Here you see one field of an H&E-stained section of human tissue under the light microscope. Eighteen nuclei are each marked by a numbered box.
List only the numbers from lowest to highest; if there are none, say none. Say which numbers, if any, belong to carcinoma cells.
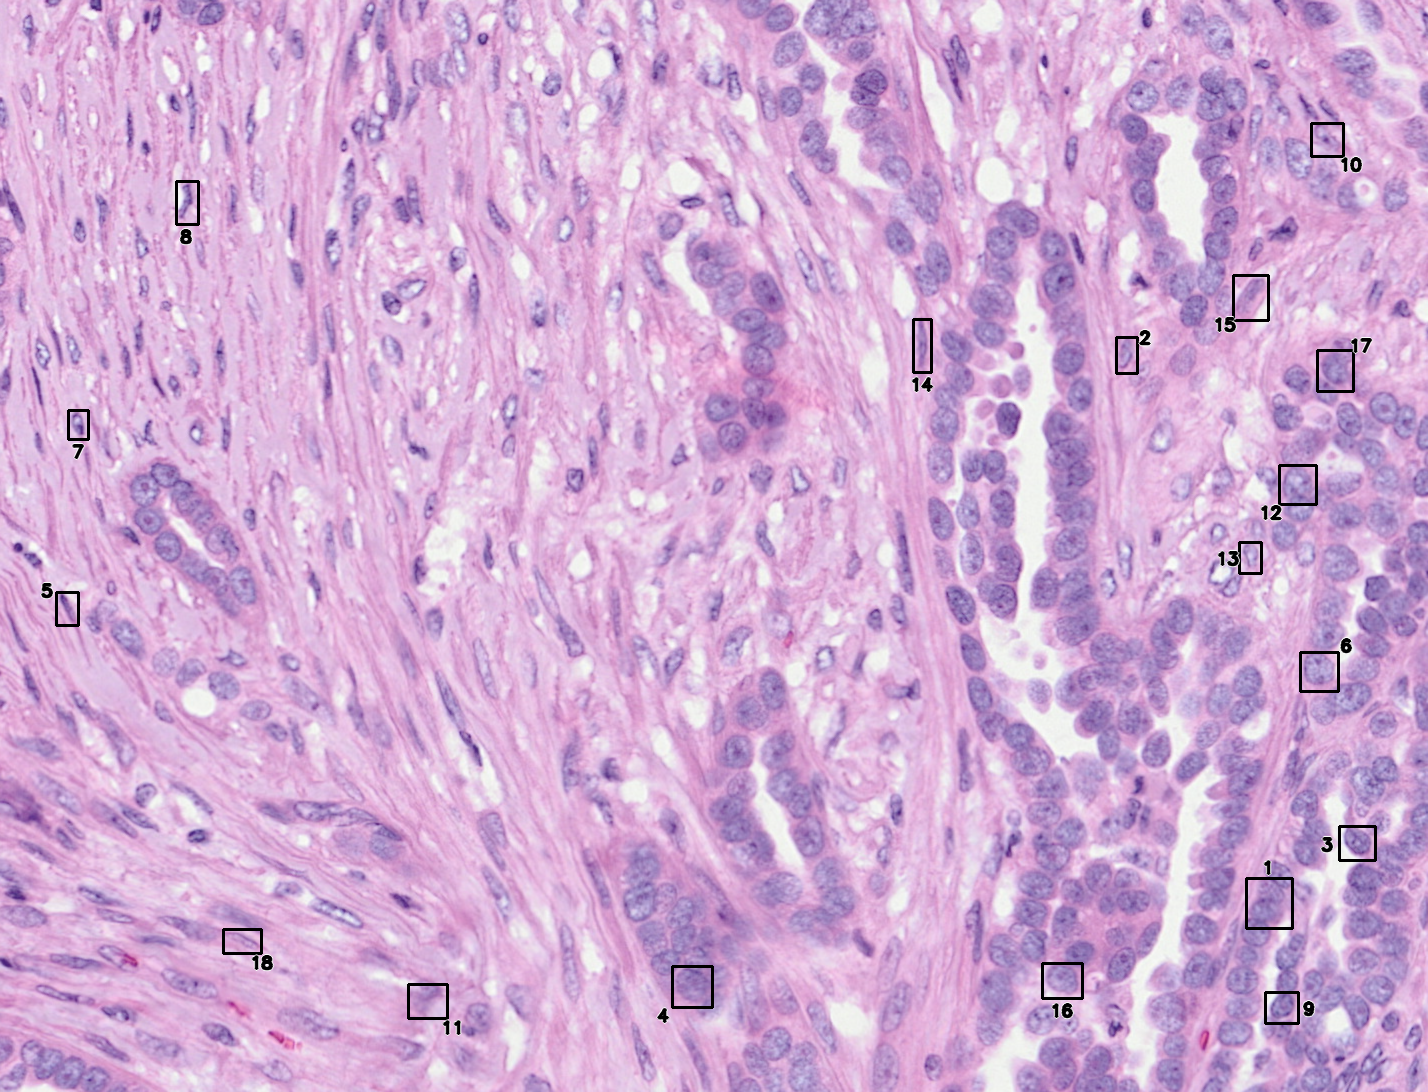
1, 3, 4, 6, 9, 12, 16, 17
